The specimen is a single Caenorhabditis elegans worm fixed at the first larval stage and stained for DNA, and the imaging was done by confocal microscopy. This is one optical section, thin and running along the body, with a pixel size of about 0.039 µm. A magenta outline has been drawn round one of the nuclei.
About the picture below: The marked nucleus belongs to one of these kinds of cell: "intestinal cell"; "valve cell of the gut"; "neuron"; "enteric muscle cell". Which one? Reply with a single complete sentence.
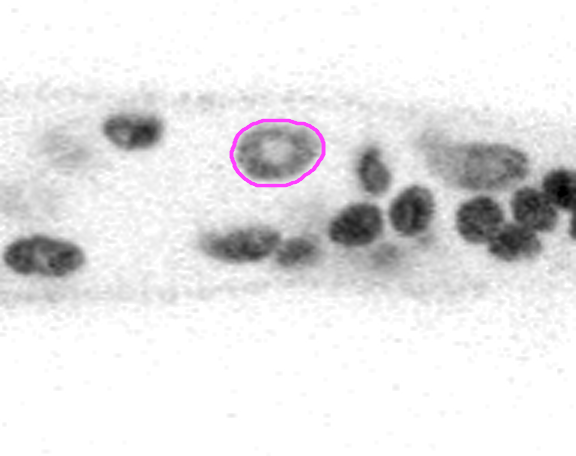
The marked cell is an intestinal cell.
